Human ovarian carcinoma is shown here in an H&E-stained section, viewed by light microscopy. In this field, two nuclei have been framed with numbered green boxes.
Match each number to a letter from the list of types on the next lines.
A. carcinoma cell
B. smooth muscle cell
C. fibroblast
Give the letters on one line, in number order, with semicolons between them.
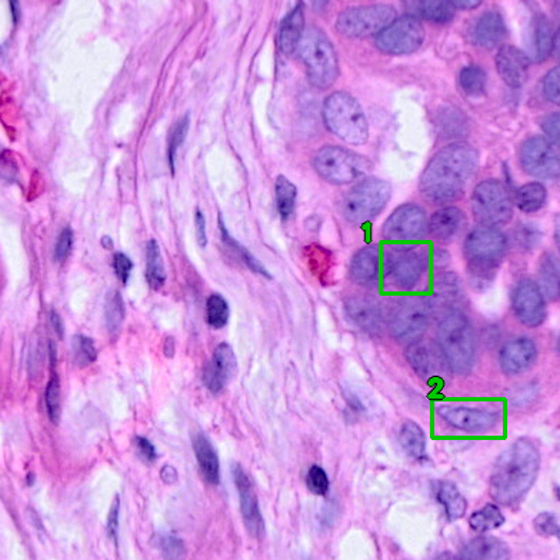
A; C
